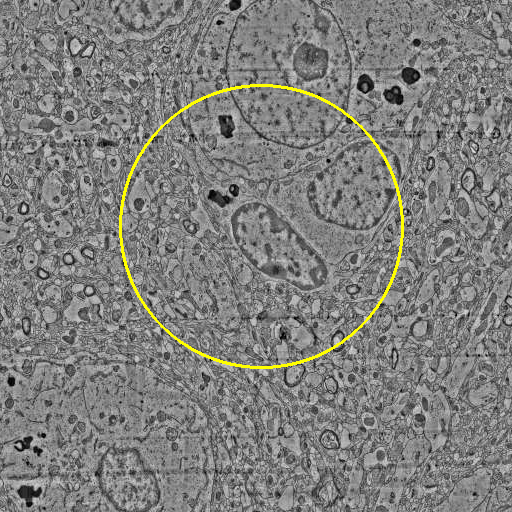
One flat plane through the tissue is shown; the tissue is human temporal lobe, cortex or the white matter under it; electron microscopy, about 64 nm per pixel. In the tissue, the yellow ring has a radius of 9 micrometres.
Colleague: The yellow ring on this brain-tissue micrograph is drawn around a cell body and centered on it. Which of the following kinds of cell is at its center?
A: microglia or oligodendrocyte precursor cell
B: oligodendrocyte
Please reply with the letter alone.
A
